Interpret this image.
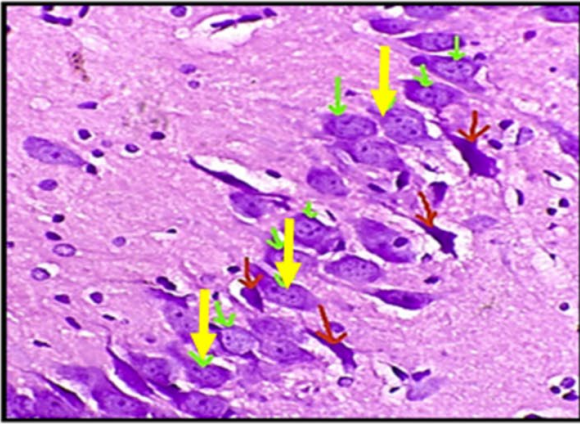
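Pyramidal layer of the hippocampus in which many neurons are degenerated. Scattered among the cells are shrunken, angular bodies stained dark purple throughout, with no clear pale nucleus. Other neurons keep a larger shape with paler nuclei, but the band is loose and disordered. Small dark glial nuclei are scattered through the neuropil.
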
